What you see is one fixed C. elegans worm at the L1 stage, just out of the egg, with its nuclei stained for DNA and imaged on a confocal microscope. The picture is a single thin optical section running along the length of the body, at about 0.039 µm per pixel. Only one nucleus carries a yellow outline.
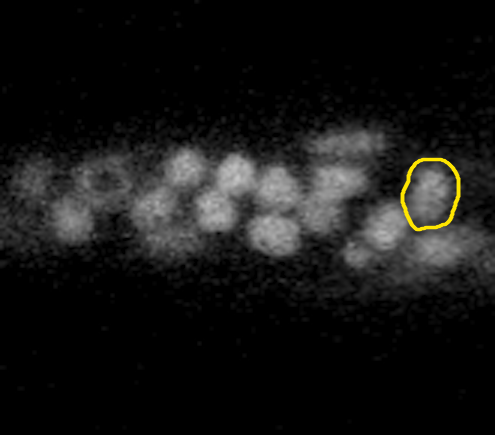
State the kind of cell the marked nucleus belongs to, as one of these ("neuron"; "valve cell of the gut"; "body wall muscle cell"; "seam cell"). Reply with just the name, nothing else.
valve cell of the gut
